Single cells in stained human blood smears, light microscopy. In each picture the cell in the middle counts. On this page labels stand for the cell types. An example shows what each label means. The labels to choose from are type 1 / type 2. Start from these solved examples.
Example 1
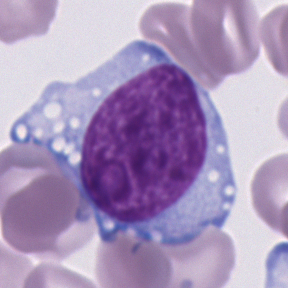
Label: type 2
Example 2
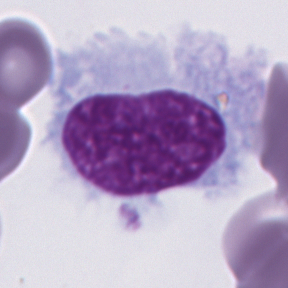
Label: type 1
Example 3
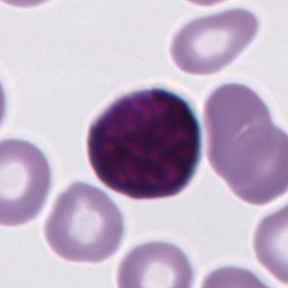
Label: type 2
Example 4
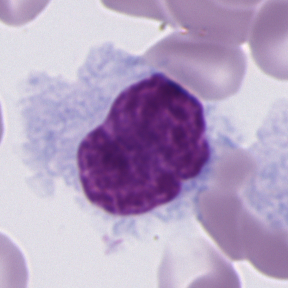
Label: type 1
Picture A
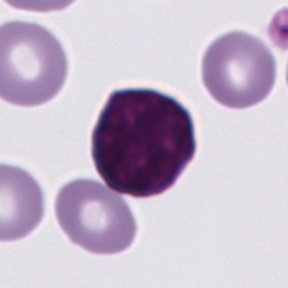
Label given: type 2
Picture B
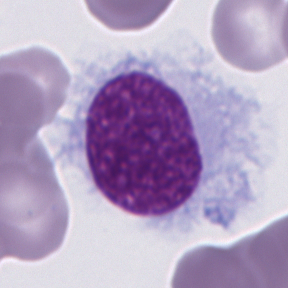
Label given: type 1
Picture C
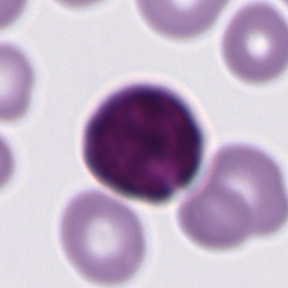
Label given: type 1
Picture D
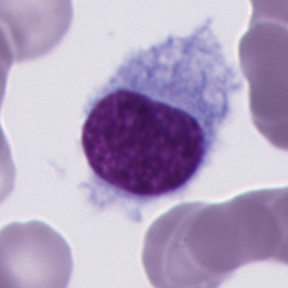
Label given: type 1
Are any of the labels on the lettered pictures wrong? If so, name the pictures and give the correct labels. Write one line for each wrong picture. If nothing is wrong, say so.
C is labelled type 1; correct label: type 2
